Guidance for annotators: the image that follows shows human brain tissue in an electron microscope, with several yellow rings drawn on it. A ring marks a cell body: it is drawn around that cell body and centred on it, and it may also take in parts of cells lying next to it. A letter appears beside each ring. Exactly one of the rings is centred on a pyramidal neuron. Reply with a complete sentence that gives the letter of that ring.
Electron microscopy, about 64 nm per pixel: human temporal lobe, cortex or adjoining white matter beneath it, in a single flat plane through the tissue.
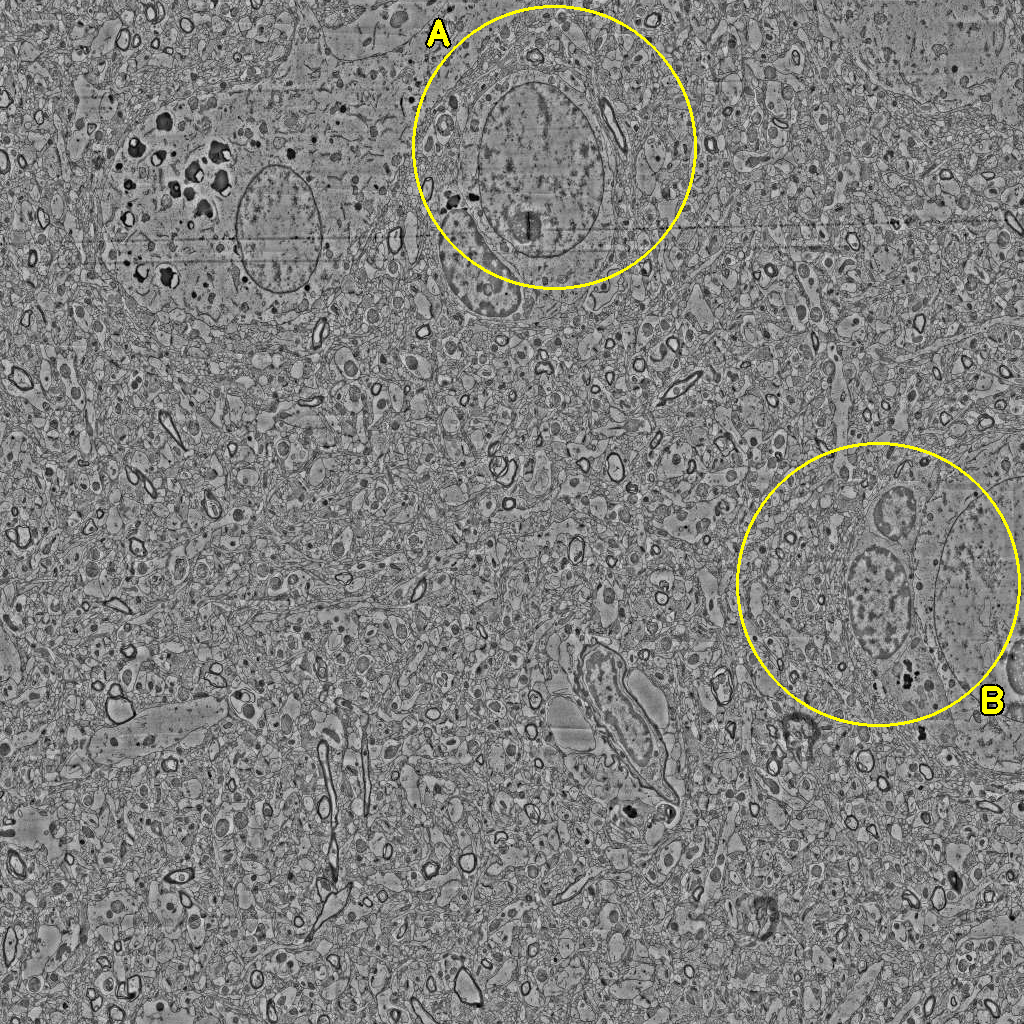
The ring lettered A is centred on that cell.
